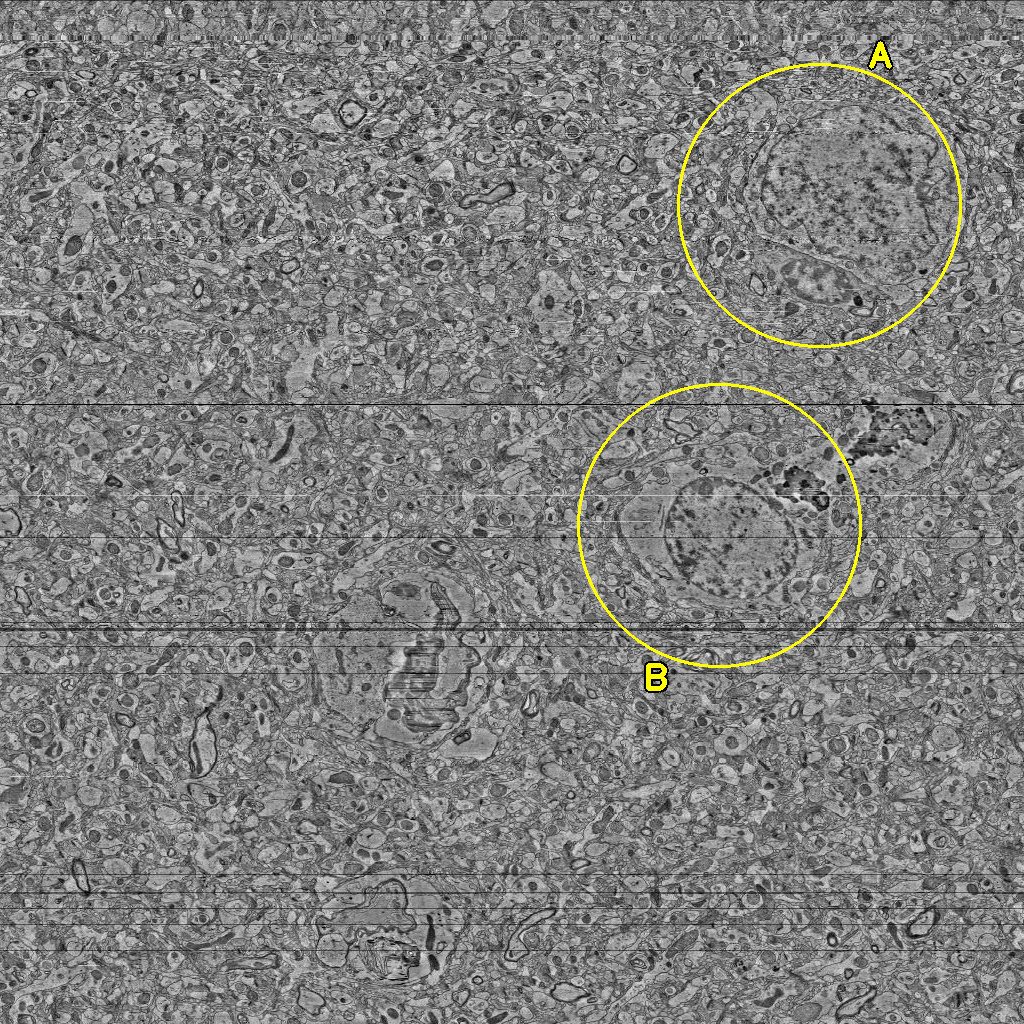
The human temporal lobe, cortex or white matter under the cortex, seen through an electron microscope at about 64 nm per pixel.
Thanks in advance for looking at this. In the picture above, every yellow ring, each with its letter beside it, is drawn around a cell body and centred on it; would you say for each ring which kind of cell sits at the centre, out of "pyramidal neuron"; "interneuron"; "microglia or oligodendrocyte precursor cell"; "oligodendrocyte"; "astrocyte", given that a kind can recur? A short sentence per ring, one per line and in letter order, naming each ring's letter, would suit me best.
The cell body in ring A belongs to an interneuron.
The cell body in ring B belongs to an astrocyte.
